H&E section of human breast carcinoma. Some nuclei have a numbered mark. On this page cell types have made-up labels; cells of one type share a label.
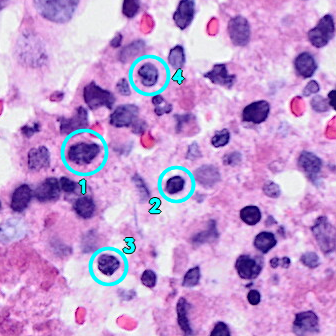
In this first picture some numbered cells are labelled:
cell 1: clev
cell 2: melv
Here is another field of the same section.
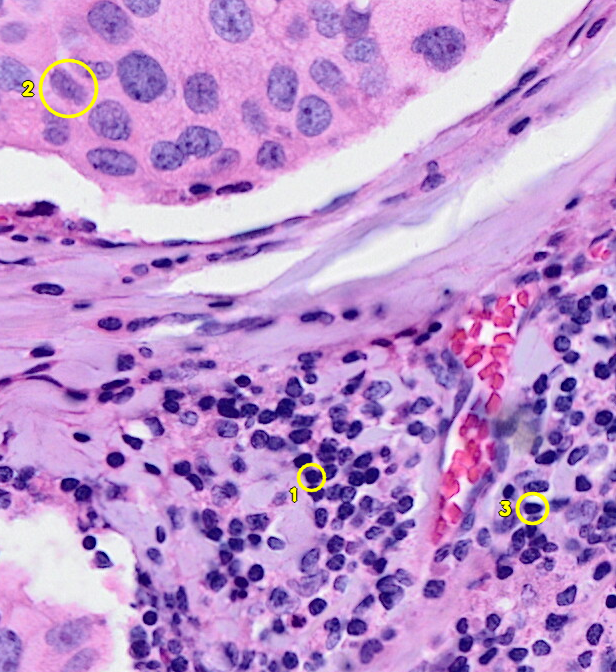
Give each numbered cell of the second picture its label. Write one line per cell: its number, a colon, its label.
1: melv
2: clev
3: melv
